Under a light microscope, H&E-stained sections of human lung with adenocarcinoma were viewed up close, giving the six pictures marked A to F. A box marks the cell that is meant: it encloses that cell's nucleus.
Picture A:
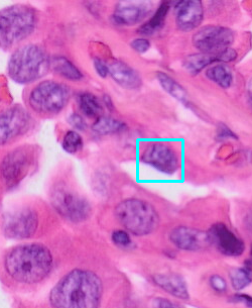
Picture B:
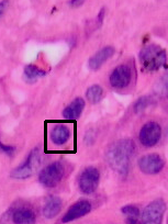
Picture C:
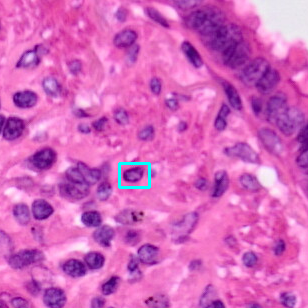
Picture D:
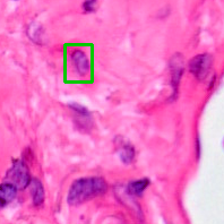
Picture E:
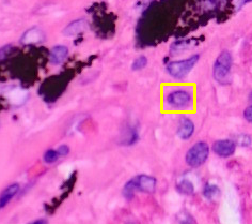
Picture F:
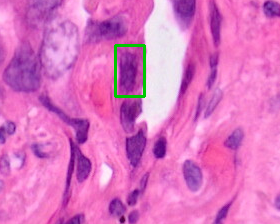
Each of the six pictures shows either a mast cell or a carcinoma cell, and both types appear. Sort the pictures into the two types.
A: carcinoma cell
B: mast cell
C: mast cell
D: mast cell
E: mast cell
F: carcinoma cell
